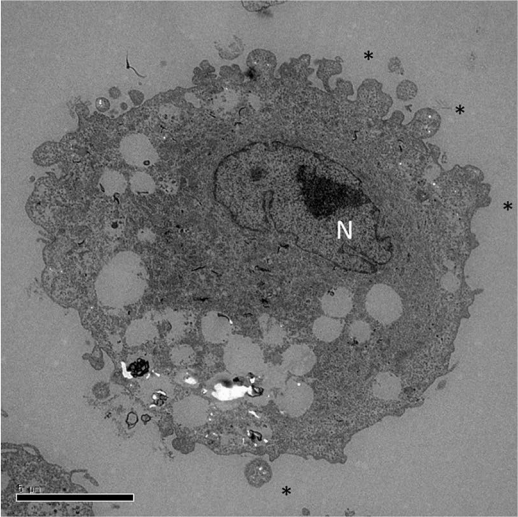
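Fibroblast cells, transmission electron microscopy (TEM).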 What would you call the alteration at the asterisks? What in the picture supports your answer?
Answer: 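Small rounded protrusions bulge from the cell surface next to the asterisks. Some rounded bits lie just outside the cell edge. So: membrane blebbing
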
